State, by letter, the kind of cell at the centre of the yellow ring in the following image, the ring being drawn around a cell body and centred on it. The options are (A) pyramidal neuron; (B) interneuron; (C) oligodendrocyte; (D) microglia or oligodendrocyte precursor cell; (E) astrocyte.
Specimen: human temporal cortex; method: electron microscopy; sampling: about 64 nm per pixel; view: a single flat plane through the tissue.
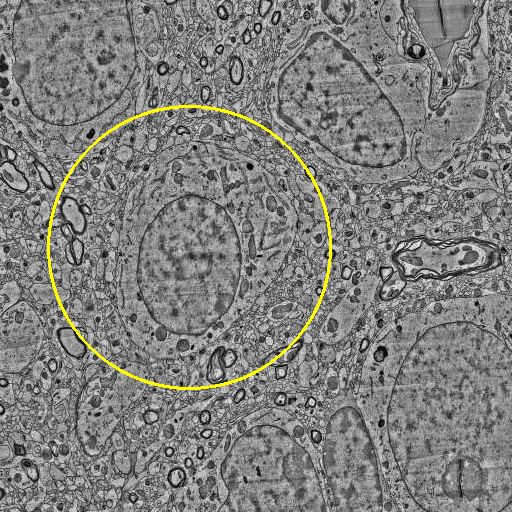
B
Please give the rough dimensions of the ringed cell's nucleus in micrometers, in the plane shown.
In this plane, approximately 9 by 7 micrometers.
